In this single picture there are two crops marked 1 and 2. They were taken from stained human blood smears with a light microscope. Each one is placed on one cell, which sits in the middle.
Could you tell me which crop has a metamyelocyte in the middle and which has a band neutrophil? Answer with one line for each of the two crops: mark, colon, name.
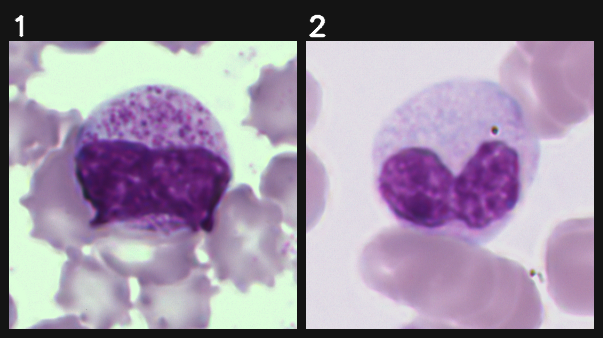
1: metamyelocyte
2: band neutrophil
